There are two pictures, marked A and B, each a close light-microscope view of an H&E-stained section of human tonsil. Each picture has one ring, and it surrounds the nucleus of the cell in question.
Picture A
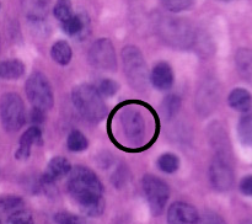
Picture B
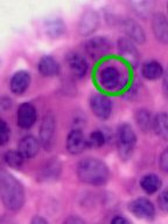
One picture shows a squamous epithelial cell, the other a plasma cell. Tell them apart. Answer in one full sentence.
The cell in picture A is a squamous epithelial cell, and the one in picture B is a plasma cell.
